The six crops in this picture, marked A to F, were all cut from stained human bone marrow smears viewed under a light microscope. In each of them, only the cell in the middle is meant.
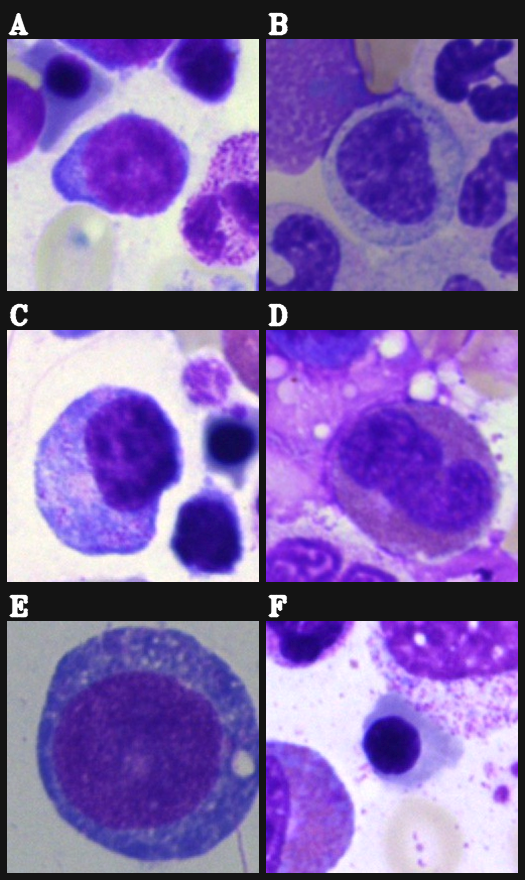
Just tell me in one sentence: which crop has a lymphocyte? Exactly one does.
So the crop with a lymphocyte at its center is crop A.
